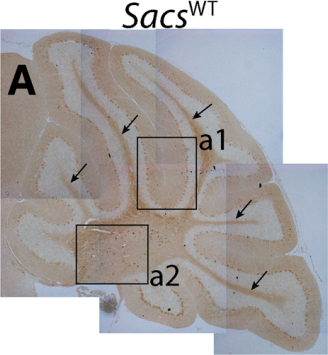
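This low-power view shows the folded cortex of the cerebellum in sagittal section, with its folia branching from a central core of white matter. Each folium has a pale outer layer and a paler, densely granular inner layer, and at the boundary between them runs a single row of small, darkly brown cell bodies, those of the Purkinje cells. The outer layer carries a diffuse light brown tint. In the central core, below the folia, scattered brown dots mark larger cell bodies lying within the deep tissue. Overall the brown stain is concentrated in these cell bodies rather than in the granular layer.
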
